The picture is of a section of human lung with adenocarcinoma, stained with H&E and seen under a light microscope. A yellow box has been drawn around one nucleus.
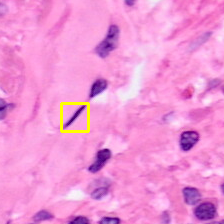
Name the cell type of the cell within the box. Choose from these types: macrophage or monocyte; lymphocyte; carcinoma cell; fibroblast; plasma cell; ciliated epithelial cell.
fibroblast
